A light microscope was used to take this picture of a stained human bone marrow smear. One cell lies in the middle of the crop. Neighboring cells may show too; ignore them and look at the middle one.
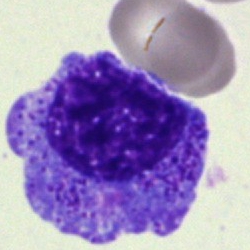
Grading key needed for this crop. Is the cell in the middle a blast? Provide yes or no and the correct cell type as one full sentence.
No, what the centre of the crop shows is a promyelocyte, not a blast.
